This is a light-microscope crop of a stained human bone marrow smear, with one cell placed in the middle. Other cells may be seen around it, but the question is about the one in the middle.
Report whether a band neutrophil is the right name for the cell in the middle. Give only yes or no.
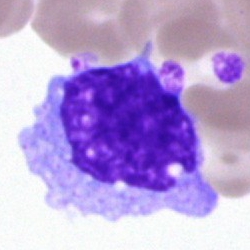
no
